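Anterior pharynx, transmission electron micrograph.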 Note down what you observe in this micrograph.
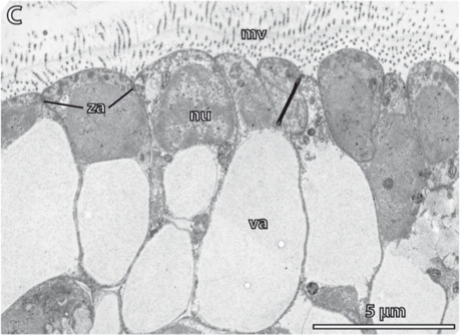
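Vacuolated epithelial cells line a lumen, standing side by side in a single row. Each cell has a dark apical cytoplasm holding a rounded nucleus, while most of the cell below is taken up by a large, pale, electron-lucent vacuole. The apical surface carries a dense fringe of microvilli, and neighbouring cells are joined near their apices by zonulae adherentes.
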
